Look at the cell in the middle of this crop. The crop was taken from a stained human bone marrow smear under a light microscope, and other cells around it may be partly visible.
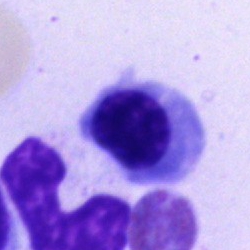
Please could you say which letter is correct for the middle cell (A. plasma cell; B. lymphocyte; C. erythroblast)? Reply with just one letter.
C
